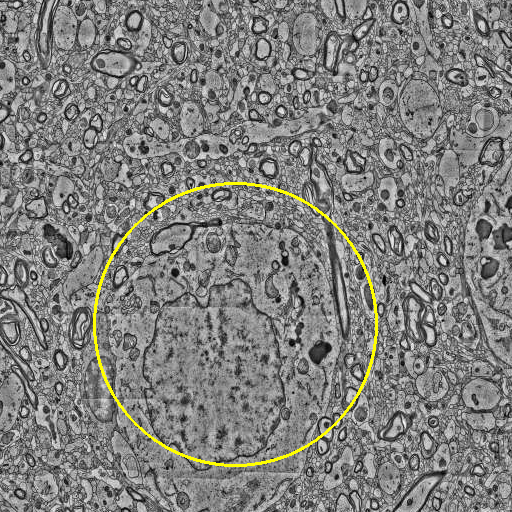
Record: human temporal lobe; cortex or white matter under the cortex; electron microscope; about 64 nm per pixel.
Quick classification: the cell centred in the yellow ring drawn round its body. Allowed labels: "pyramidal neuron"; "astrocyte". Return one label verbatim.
pyramidal neuron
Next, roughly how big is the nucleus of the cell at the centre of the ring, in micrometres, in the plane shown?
Roughly 11 micrometers across, in this plane.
